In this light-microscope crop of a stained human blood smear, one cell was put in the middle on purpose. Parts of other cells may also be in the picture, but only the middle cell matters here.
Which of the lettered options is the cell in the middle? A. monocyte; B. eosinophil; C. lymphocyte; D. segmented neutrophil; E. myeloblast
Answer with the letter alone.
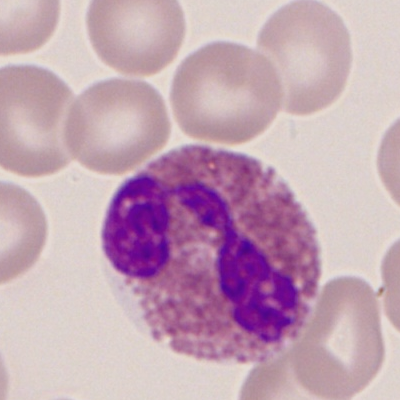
B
